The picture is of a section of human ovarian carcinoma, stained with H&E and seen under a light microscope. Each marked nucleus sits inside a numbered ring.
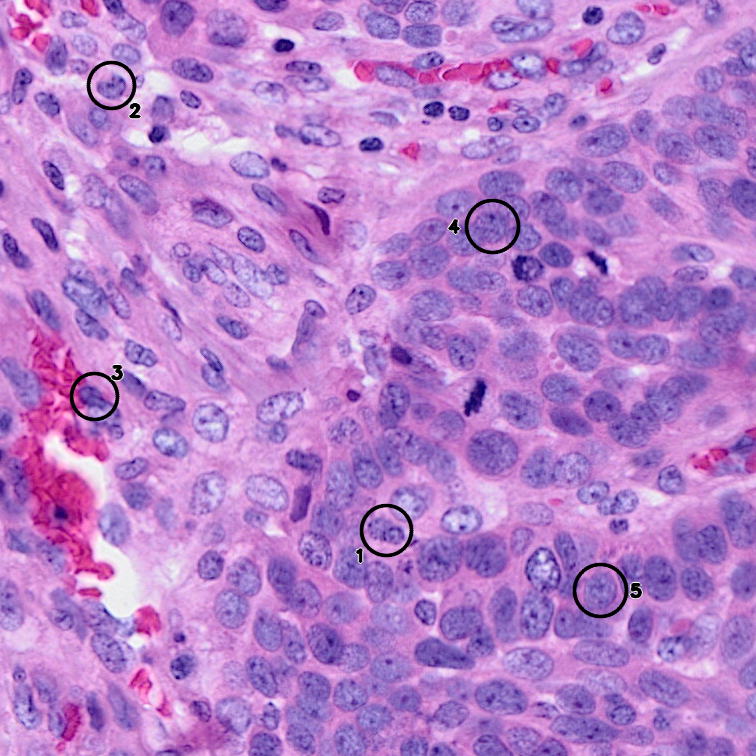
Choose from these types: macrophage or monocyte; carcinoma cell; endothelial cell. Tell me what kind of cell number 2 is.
macrophage or monocyte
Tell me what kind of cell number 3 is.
endothelial cell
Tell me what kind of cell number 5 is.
carcinoma cell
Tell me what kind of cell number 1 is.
macrophage or monocyte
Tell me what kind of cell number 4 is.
carcinoma cell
